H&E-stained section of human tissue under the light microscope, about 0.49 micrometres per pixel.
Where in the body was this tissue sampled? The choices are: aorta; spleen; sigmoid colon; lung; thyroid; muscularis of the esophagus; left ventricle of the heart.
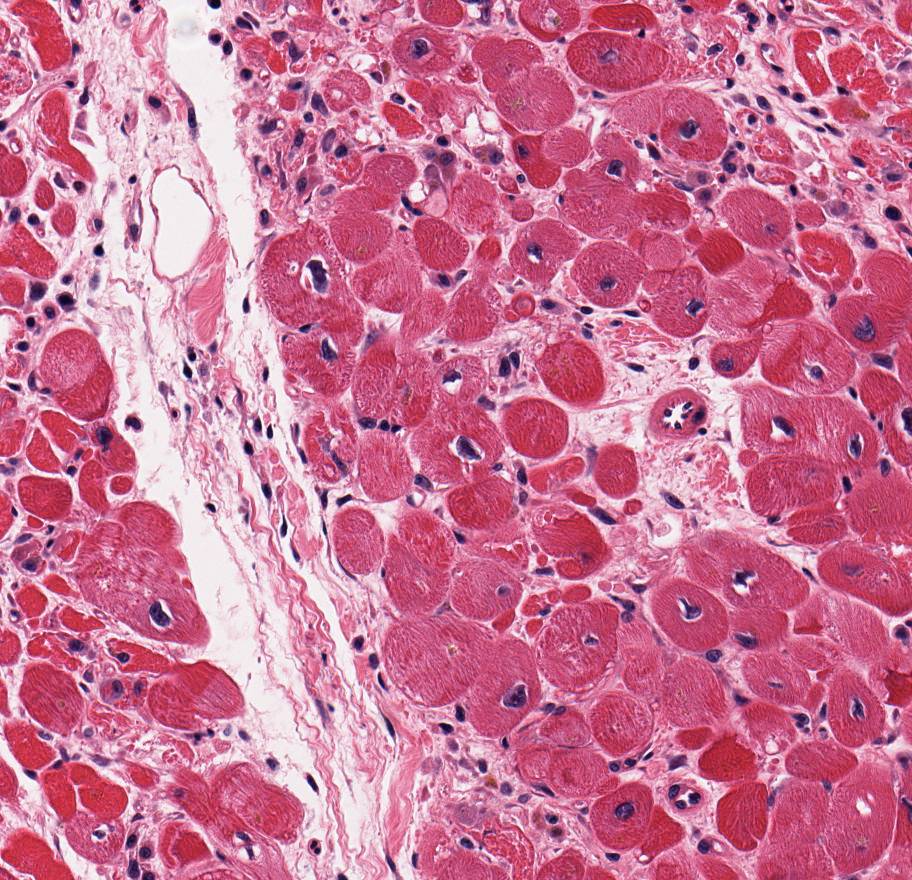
left ventricle of the heart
